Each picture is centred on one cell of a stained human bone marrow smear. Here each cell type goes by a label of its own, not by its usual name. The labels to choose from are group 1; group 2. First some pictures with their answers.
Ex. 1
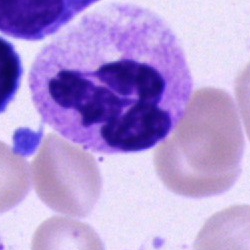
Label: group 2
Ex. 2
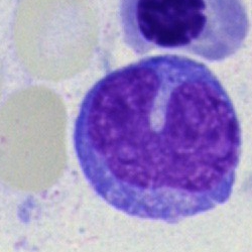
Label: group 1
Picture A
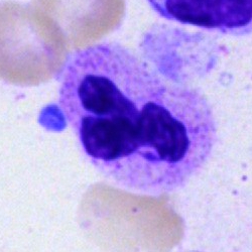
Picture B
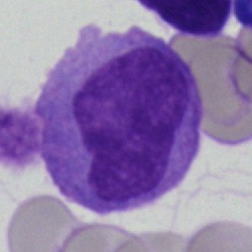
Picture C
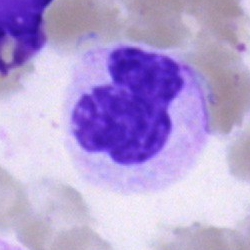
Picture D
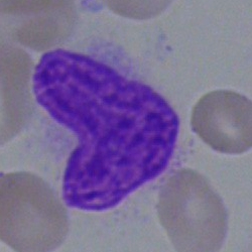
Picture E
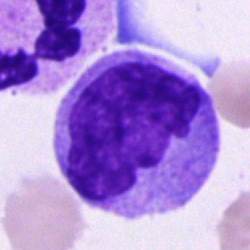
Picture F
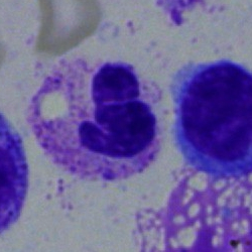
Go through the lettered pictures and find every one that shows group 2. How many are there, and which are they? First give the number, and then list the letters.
3, namely A, C, F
